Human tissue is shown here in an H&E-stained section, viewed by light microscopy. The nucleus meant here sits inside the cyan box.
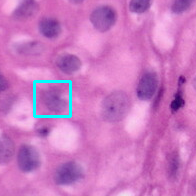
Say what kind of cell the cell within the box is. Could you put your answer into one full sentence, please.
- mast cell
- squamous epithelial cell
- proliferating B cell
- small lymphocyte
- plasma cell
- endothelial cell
By cell type, the cell within the box is a squamous epithelial cell.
